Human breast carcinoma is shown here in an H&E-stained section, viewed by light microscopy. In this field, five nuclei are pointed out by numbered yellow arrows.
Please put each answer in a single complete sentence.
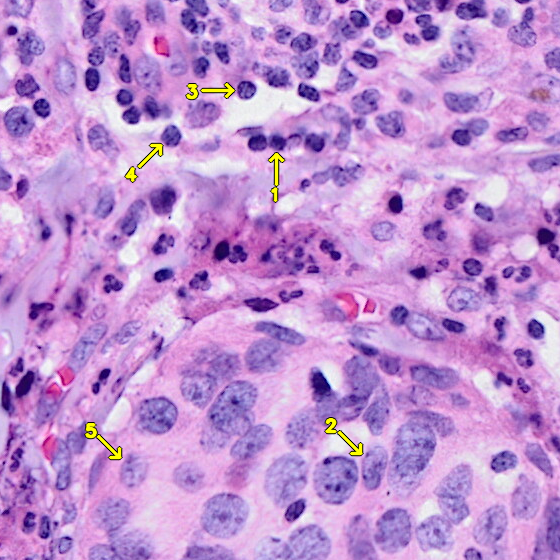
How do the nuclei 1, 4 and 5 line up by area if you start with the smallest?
From smallest to largest, the order is 1, 4, 5.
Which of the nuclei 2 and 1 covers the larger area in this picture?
Number 2 is larger; its area is about 3 times that of number 1.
